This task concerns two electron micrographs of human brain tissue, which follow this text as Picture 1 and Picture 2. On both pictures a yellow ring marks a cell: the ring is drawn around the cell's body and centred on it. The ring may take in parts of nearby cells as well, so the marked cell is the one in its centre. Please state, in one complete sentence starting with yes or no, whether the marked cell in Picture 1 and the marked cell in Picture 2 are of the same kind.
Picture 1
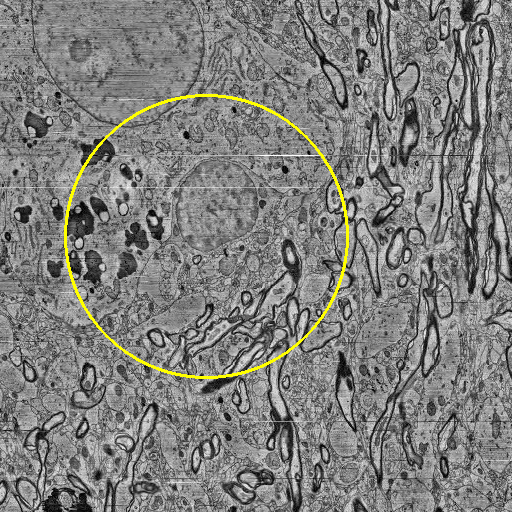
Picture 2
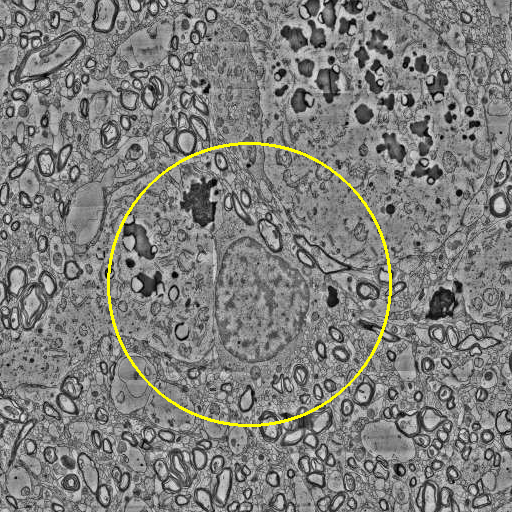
Yes, the marked cells in both pictures are of the same kind.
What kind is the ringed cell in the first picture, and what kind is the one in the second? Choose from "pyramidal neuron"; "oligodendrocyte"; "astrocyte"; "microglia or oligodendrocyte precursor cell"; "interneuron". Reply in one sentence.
In both pictures the ring is centred on an oligodendrocyte.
